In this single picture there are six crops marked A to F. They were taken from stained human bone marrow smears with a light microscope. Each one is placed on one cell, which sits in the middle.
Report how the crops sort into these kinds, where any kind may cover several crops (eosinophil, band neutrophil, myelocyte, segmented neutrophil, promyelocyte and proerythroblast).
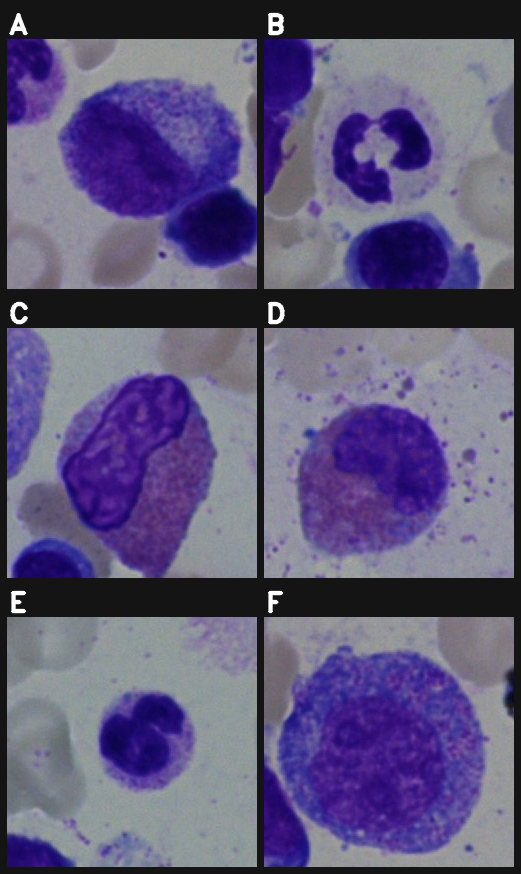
A: promyelocyte
B: segmented neutrophil
C: eosinophil
D: eosinophil
E: segmented neutrophil
F: promyelocyte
